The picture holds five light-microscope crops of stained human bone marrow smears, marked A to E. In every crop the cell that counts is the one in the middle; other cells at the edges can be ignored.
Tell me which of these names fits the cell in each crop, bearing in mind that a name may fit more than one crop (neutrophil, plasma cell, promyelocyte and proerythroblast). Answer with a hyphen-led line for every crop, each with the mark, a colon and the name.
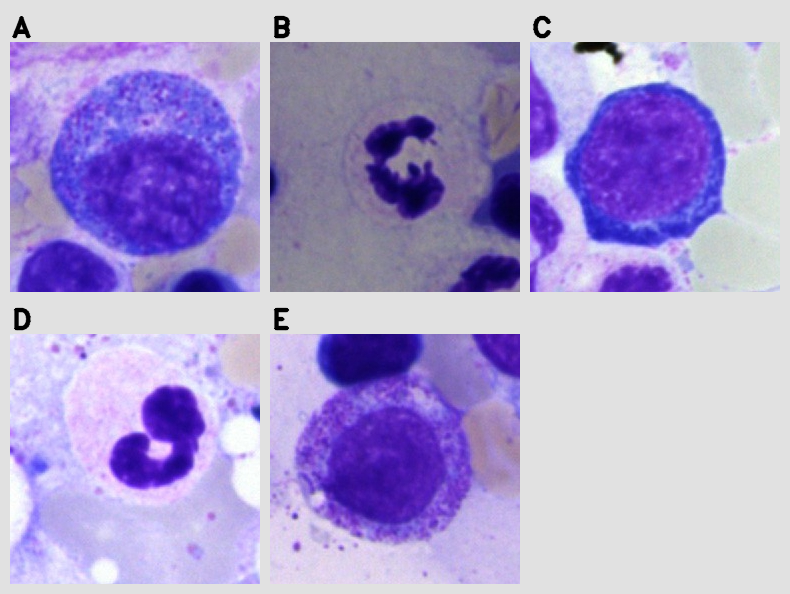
- A: promyelocyte
- B: neutrophil
- C: proerythroblast
- D: neutrophil
- E: promyelocyte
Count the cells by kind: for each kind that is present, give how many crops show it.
promyelocyte: 2
neutrophil: 2
proerythroblast: 1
